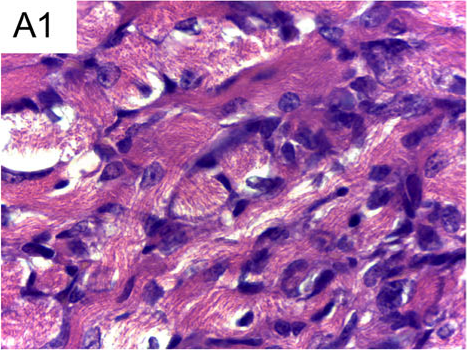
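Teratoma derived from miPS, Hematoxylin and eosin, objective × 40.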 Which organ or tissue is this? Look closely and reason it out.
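Bundles of pink, fibrillar cytoplasm run in several directions. Elongated dark nuclei lie along the pink fibres. On this evidence: striated muscle.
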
